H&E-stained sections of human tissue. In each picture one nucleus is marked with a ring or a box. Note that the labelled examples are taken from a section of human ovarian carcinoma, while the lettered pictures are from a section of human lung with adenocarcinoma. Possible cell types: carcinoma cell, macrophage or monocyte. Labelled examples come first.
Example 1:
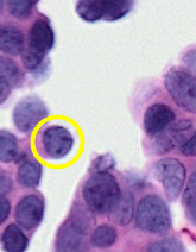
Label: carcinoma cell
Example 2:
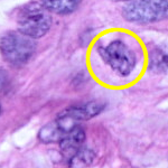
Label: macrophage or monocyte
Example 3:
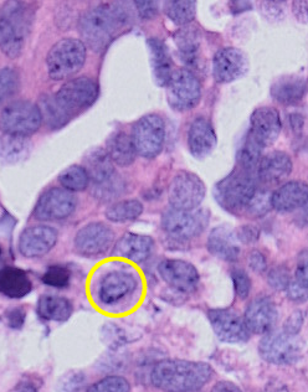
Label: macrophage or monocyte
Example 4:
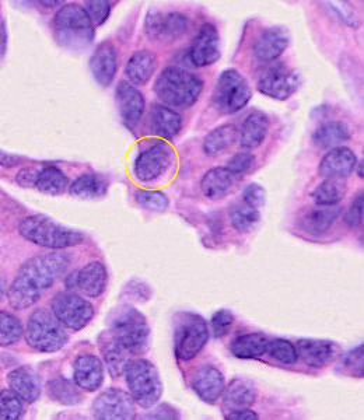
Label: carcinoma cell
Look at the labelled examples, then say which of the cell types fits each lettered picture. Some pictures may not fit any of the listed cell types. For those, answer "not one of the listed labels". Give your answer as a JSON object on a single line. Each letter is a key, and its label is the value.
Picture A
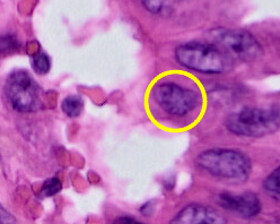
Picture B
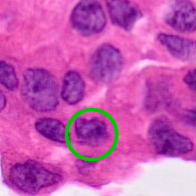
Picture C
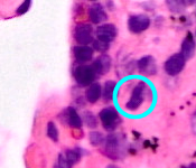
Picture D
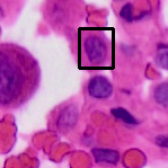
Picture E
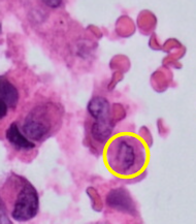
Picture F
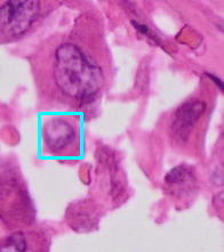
{"A": "carcinoma cell", "B": "carcinoma cell", "C": "not one of the listed labels", "D": "macrophage or monocyte", "E": "macrophage or monocyte", "F": "macrophage or monocyte"}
